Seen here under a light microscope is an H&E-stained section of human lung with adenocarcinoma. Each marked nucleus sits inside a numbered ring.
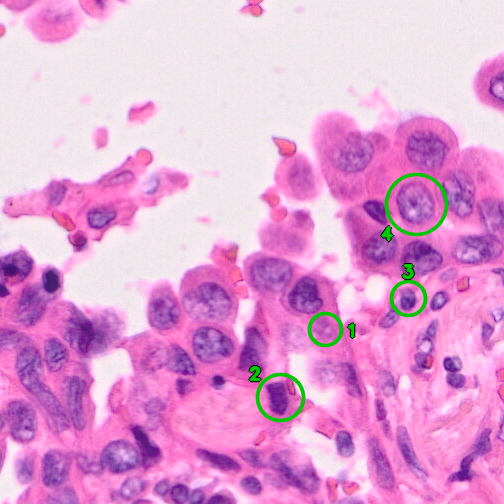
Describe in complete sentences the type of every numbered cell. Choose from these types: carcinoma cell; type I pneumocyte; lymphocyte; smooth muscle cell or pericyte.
Cells 1, 2 and 4 are carcinoma cells. Cell 3 is a lymphocyte.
